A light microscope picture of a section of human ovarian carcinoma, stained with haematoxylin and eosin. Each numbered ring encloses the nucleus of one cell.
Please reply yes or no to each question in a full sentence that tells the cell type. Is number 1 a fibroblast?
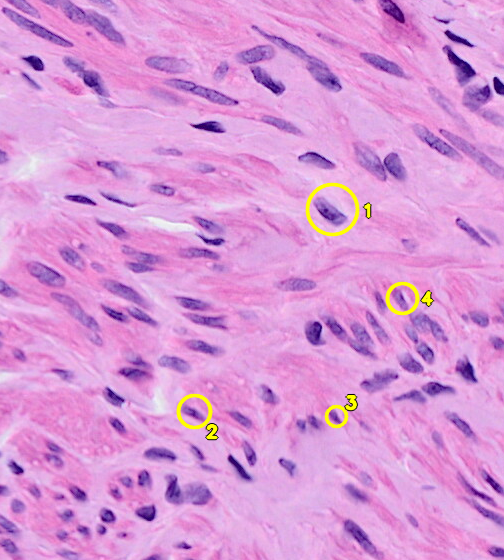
Yes, the cell with the mark numbered 1 is a fibroblast.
